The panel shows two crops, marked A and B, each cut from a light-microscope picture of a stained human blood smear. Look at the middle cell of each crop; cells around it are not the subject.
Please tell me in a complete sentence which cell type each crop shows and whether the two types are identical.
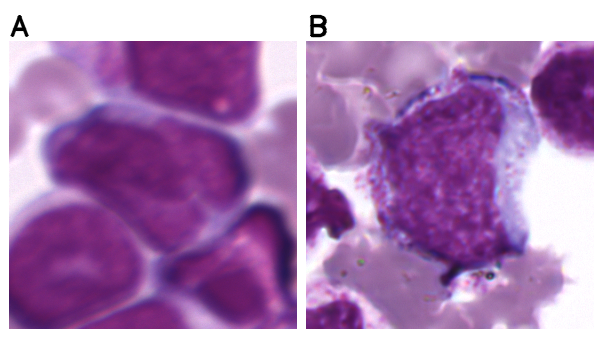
No, crop A has a blast at its center, and crop B has a promyelocyte.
